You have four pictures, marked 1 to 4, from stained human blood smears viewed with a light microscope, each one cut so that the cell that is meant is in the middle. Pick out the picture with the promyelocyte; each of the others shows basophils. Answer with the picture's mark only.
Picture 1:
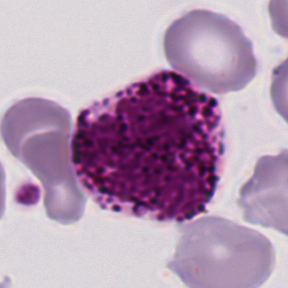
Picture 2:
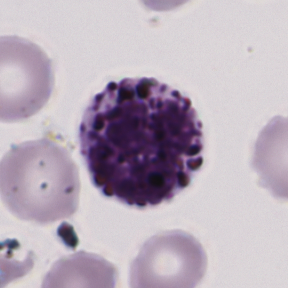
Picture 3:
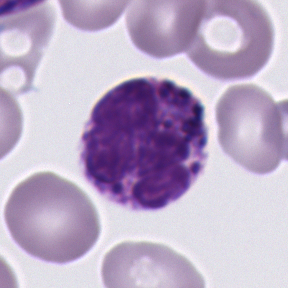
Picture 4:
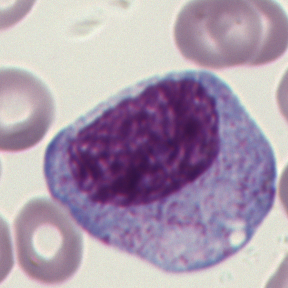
4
